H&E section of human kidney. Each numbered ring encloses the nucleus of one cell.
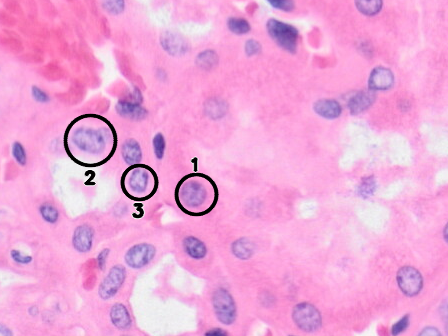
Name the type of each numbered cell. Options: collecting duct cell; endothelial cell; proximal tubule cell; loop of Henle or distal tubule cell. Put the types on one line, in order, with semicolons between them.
proximal tubule cell; collecting duct cell; collecting duct cell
